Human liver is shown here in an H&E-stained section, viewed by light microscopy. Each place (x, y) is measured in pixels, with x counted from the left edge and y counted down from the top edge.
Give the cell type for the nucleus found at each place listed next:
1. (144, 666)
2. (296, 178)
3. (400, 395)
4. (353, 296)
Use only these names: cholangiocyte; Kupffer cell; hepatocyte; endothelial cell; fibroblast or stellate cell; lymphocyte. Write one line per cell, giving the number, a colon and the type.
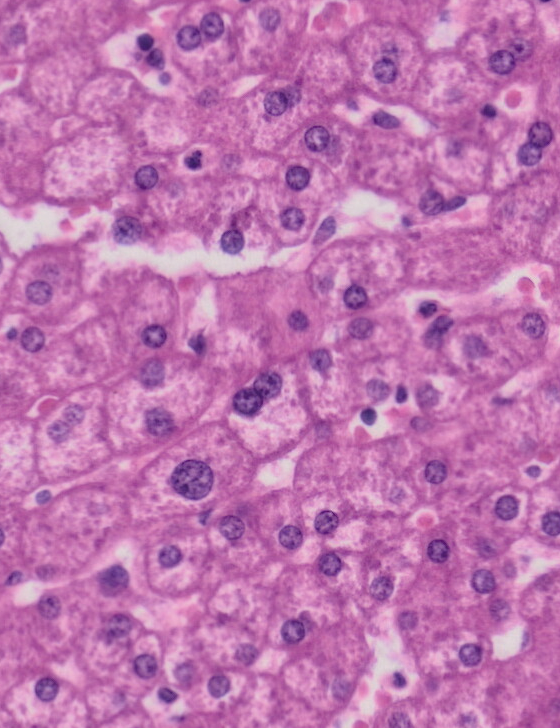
1: hepatocyte
2: hepatocyte
3: lymphocyte
4: hepatocyte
